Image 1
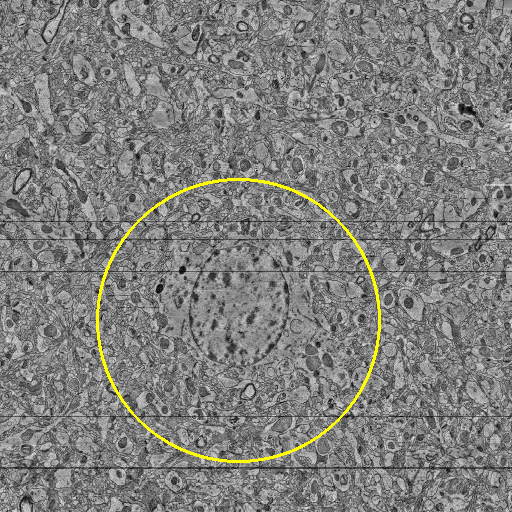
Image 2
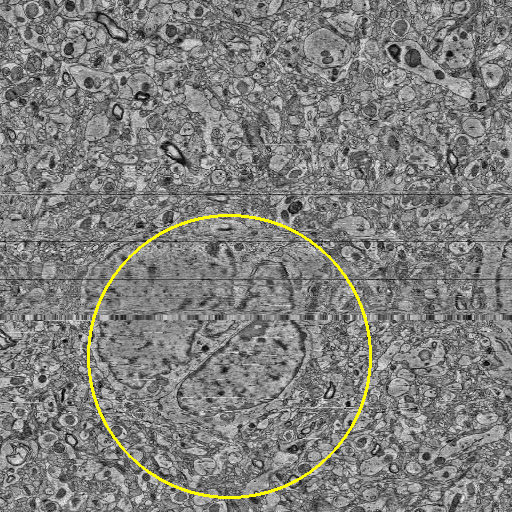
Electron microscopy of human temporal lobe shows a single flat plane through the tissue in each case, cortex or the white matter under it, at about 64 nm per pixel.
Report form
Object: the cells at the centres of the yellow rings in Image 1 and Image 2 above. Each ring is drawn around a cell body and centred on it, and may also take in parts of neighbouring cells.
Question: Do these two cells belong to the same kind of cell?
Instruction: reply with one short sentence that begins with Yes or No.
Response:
No, they belong to two kinds of cell.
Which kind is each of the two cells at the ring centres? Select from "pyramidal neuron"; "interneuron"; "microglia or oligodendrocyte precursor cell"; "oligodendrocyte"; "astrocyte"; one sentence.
The cell at the centre of the ring is an astrocyte in the first picture and a microglial cell or oligodendrocyte precursor cell in the second.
